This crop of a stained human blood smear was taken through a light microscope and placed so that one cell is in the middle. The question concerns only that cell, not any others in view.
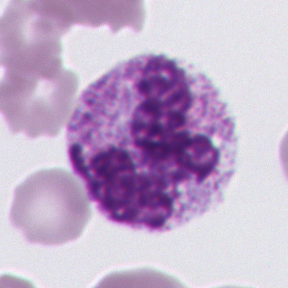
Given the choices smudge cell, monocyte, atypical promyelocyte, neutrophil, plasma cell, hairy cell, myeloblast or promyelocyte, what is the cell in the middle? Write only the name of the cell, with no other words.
neutrophil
